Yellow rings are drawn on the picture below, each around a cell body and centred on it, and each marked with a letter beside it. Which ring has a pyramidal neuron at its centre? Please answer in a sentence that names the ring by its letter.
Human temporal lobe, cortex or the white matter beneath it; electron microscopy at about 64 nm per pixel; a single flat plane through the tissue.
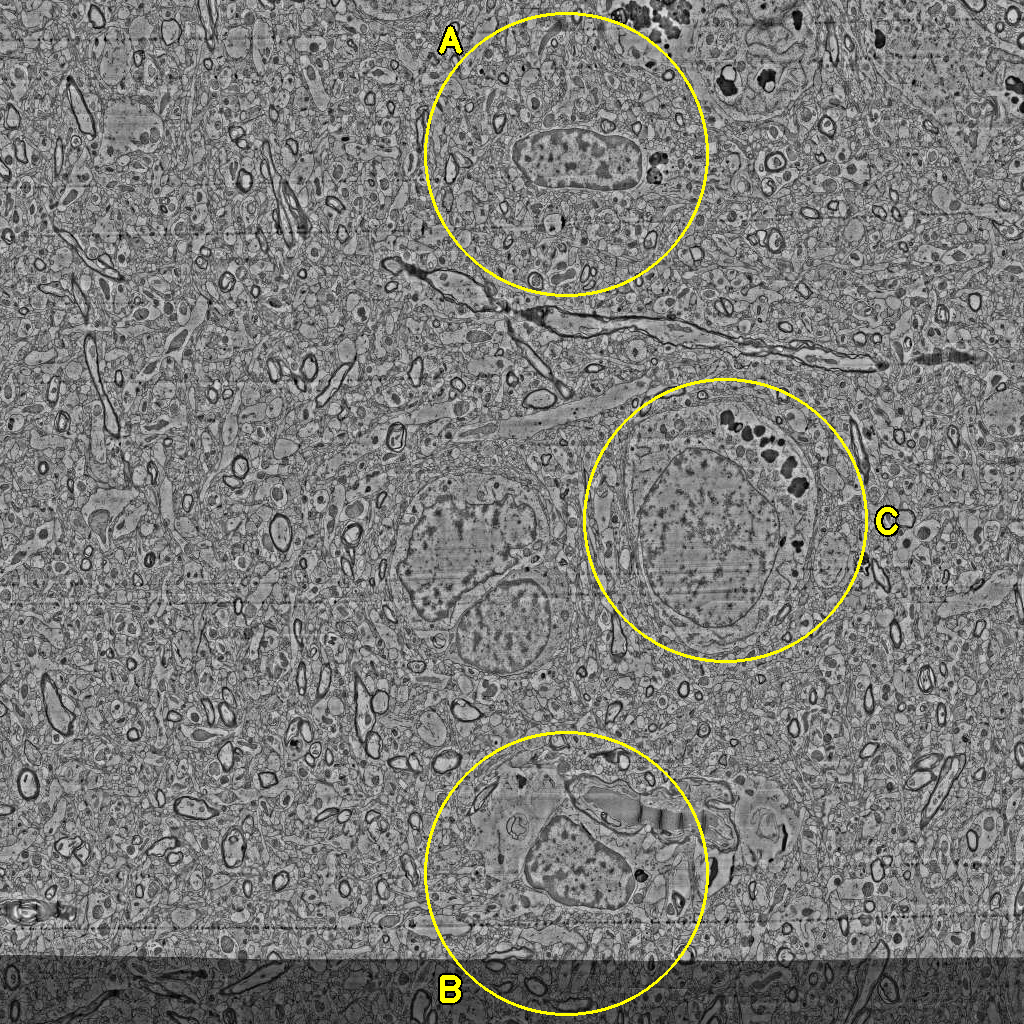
That is ring C.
